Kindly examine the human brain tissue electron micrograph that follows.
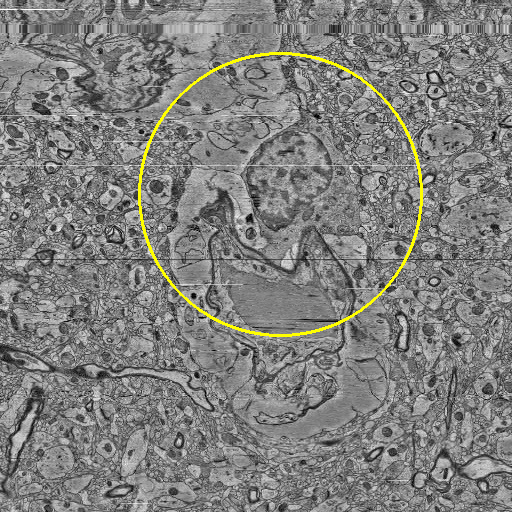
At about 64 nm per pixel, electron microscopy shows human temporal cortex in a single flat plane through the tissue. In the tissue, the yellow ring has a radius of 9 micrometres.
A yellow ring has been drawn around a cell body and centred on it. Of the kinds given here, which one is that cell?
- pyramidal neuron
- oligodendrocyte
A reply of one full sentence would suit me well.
The micrograph's ringed cell, the one at the ring's centre, is an oligodendrocyte.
